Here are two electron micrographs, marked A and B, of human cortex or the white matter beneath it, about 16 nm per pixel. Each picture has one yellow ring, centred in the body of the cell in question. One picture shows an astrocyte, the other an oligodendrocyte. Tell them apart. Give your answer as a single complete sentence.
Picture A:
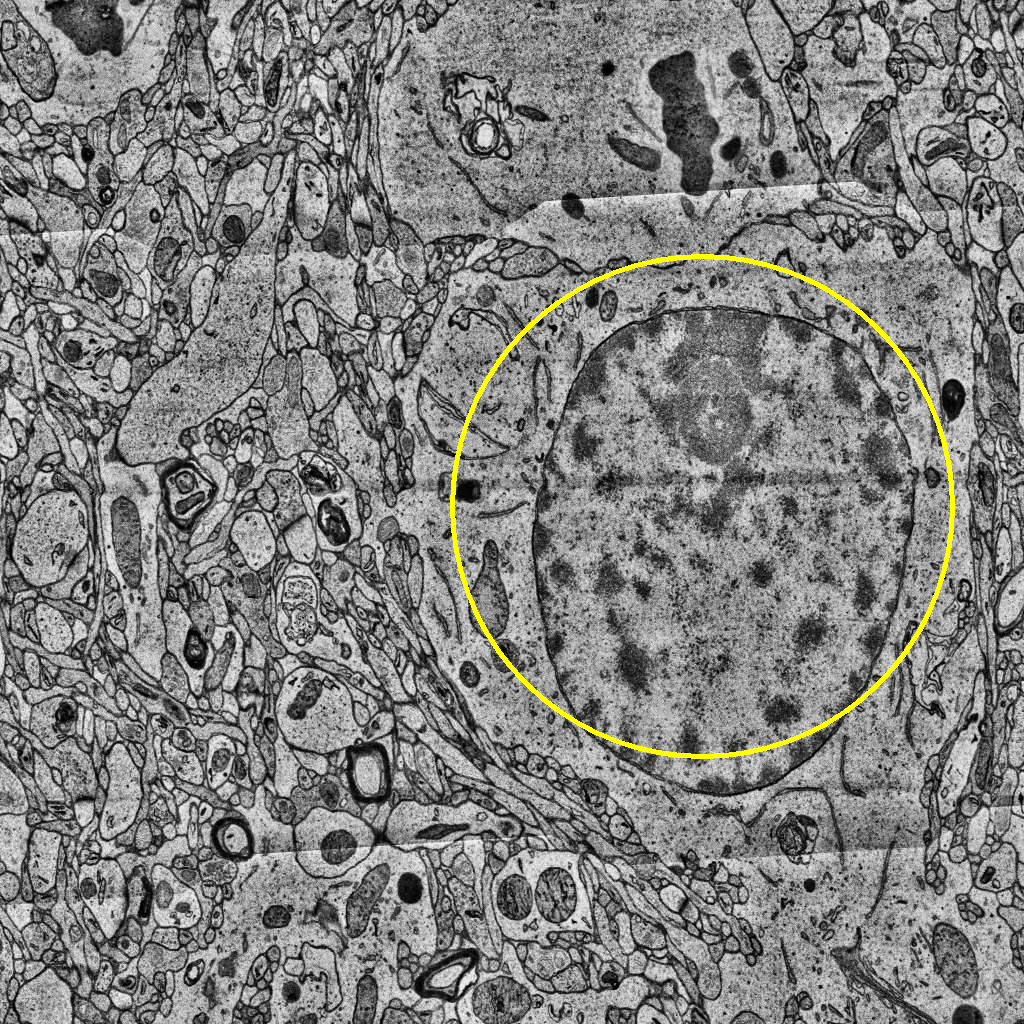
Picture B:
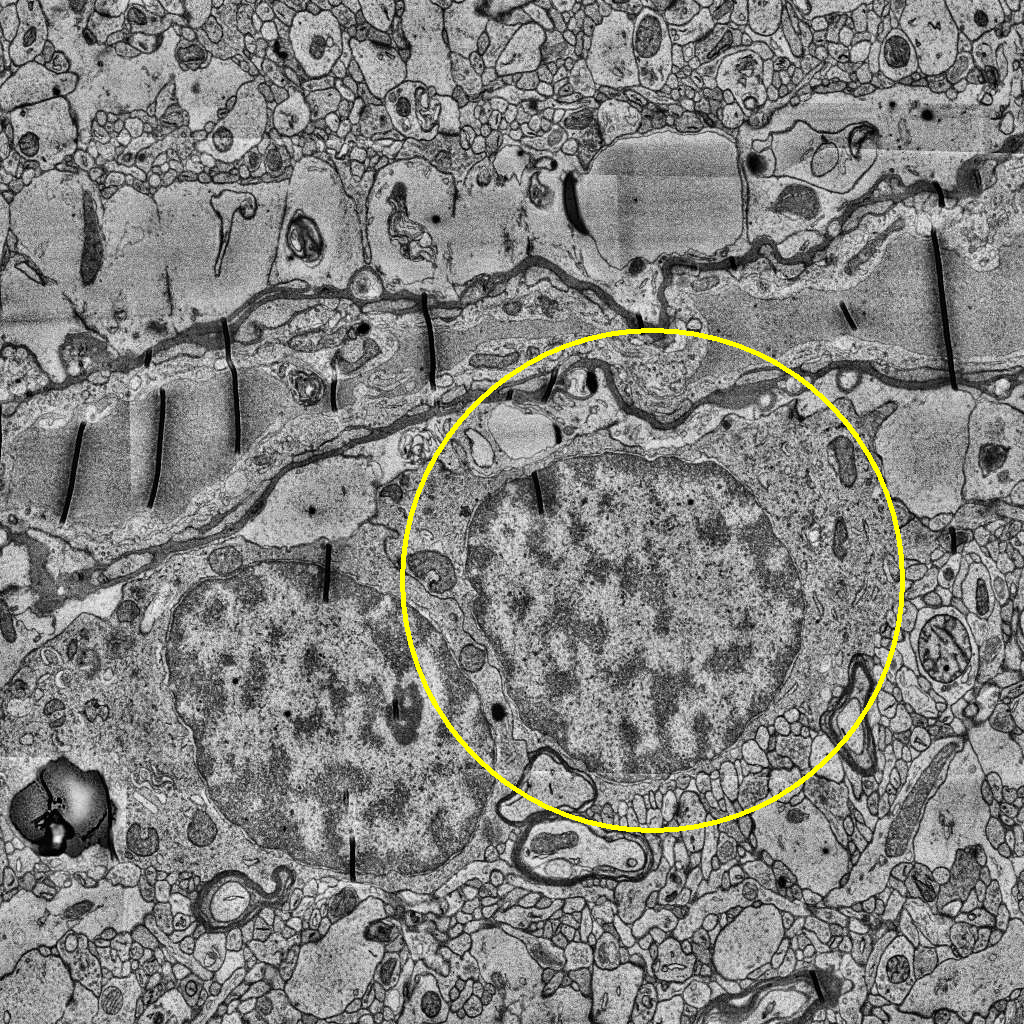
The cell in picture A is an astrocyte, and the one in picture B is an oligodendrocyte.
